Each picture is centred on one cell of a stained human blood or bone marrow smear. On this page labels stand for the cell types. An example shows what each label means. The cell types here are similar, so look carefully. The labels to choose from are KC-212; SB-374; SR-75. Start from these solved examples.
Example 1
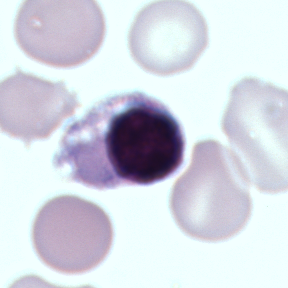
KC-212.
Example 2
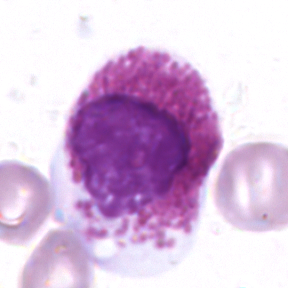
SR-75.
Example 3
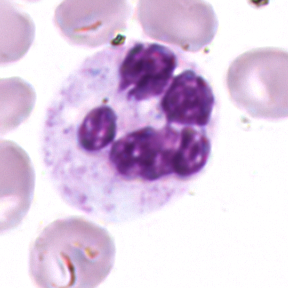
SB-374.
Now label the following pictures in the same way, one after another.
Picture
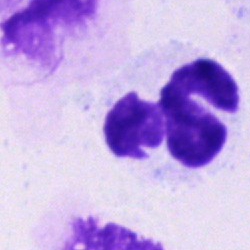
SB-374.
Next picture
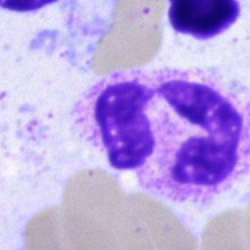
SB-374.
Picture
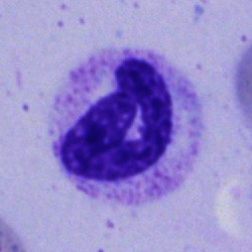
SB-374.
